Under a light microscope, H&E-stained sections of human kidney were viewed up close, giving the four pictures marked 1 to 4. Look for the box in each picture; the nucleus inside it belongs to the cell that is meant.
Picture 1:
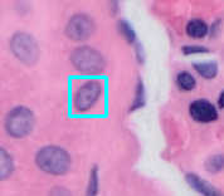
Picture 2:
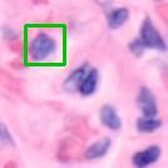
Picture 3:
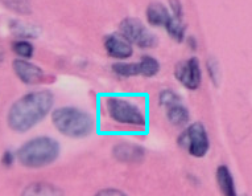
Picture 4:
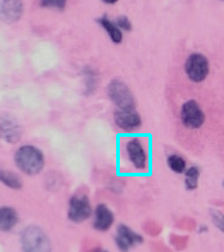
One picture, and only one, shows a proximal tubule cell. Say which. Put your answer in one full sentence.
The picture with the proximal tubule cell is 1.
